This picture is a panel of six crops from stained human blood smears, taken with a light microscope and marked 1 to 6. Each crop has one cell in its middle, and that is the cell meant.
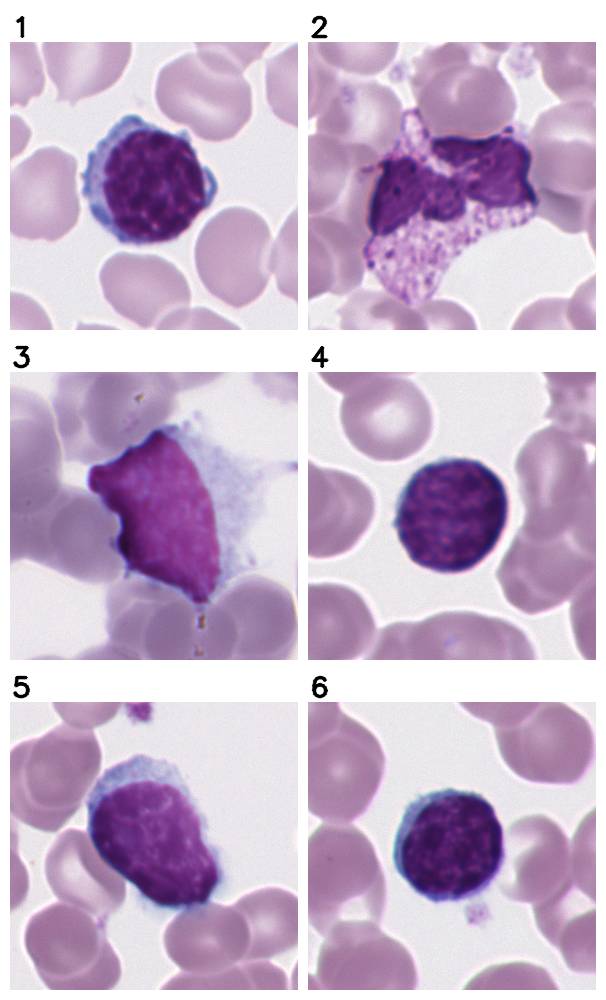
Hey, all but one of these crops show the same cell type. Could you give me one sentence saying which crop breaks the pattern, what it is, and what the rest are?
Crop 2 alone is a basophil, and the other crops are all typical lymphocytes.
